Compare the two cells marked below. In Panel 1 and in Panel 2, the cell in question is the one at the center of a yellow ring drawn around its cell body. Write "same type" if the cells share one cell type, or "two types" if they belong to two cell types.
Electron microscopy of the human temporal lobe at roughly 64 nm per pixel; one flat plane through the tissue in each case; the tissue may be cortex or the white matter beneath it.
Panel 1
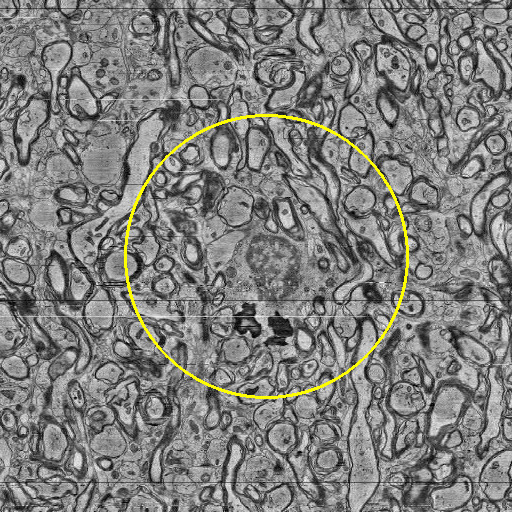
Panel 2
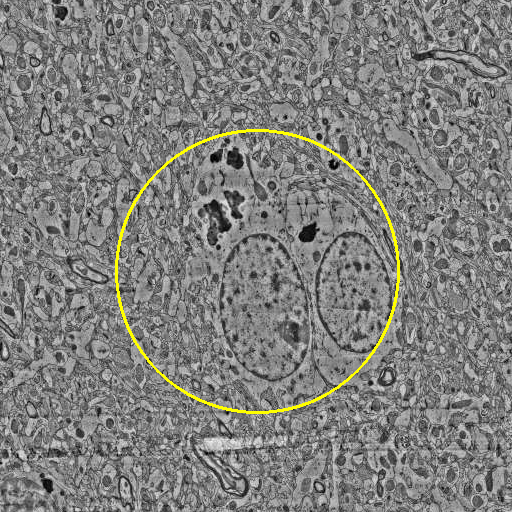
two types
